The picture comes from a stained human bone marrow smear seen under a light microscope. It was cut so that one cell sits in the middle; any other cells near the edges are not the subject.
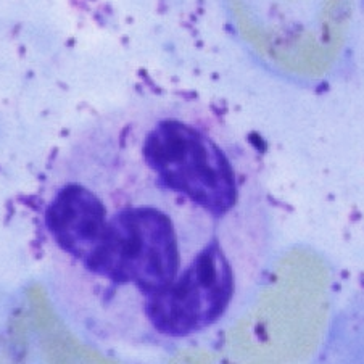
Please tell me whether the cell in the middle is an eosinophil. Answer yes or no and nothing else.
no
